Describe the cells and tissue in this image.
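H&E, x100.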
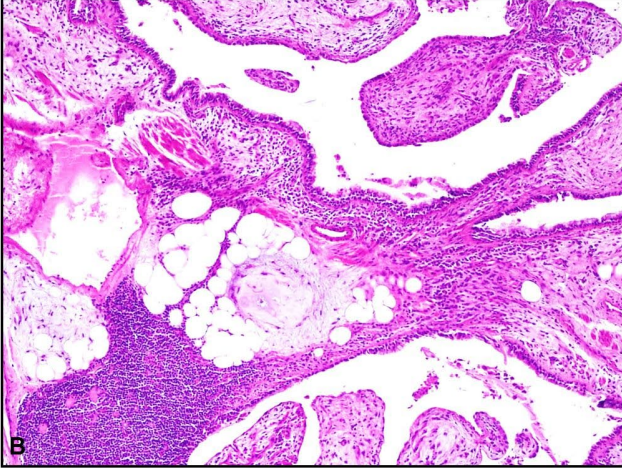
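Papillary fronds with a connective-tissue stalk carrying a lymphoid aggregate and fat. The fronds have pink fibrous cores with spindle-shaped stromal cells and are covered by a thin layer of epithelium along their surfaces. At lower left a dense sheet of small round cells with dark purple nuclei and little cytoplasm forms the lymphoid aggregate. Beside it lie clusters of clear round fat vacuoles and a pale nodule of loose matrix. Small vessels and pink fibrous bands run through the stalk.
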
